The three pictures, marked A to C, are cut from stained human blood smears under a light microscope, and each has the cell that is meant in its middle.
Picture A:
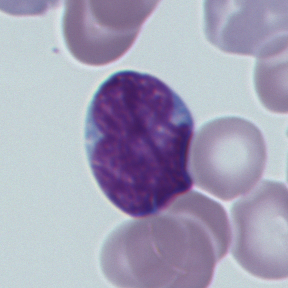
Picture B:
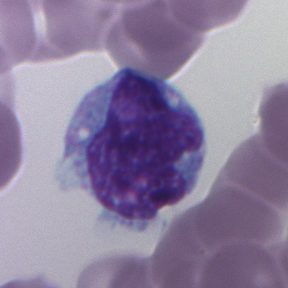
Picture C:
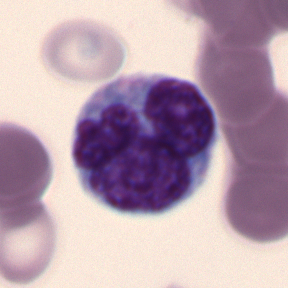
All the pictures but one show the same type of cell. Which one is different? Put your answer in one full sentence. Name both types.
Picture A is the odd one out: it shows a myeloblast, while the others show monocytes.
